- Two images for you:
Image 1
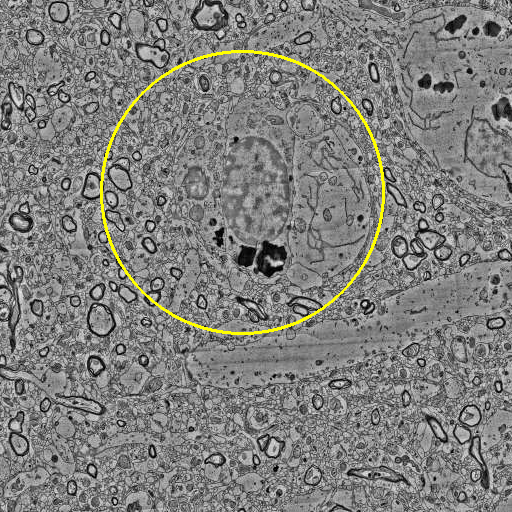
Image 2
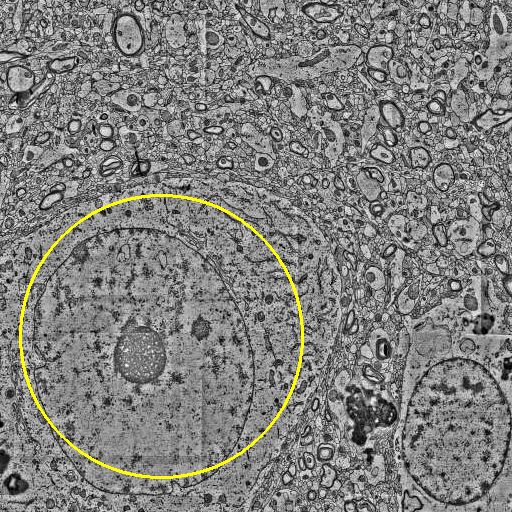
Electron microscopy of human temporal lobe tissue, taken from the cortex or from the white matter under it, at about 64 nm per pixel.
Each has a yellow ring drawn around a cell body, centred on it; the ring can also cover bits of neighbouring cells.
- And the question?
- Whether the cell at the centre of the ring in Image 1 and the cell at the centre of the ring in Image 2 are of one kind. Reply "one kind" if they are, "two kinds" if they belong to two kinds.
two kinds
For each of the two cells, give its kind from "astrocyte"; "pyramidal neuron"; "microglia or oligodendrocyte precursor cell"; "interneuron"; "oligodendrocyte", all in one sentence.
The first picture has an oligodendrocyte in its ring, the second has a pyramidal neuron.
